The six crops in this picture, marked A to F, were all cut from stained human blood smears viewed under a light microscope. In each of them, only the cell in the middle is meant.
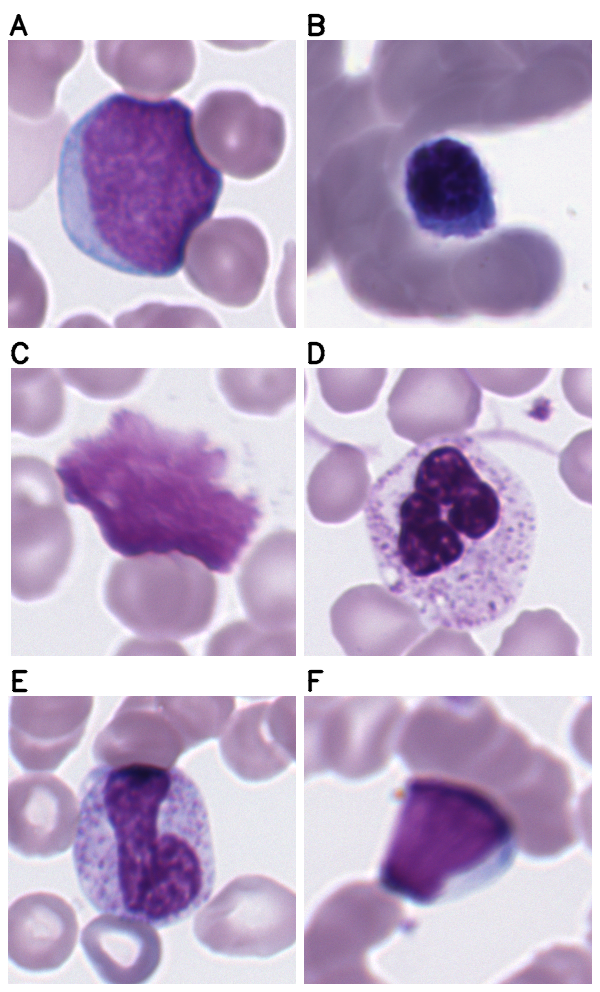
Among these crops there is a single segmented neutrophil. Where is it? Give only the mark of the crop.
D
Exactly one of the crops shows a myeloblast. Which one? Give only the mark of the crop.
A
